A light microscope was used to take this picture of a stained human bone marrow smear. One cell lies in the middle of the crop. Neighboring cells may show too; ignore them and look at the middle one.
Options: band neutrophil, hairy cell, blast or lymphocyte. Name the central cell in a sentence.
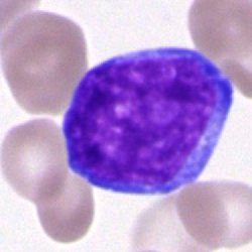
The cell shown in the center of this light-microscope crop is a blast.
